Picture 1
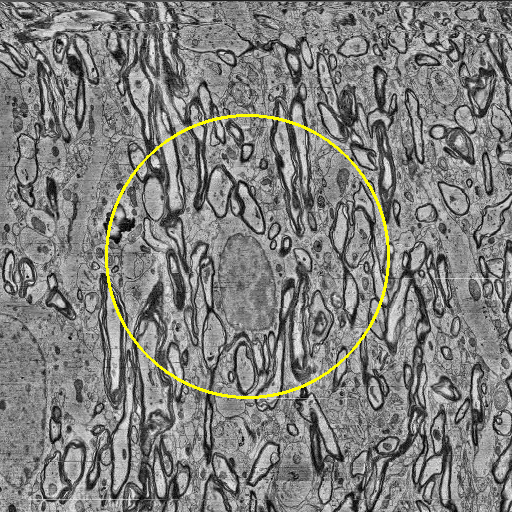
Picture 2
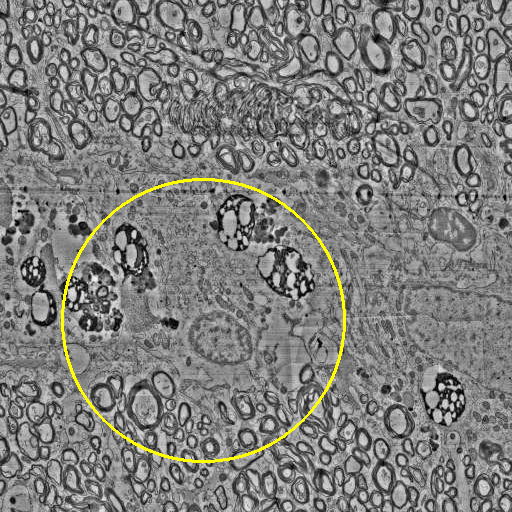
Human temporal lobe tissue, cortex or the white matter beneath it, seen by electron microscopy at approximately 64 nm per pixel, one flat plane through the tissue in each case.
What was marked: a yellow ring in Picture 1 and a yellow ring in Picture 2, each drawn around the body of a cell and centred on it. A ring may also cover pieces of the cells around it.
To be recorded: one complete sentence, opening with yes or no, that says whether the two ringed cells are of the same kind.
No, the two ringed cells are of two kinds.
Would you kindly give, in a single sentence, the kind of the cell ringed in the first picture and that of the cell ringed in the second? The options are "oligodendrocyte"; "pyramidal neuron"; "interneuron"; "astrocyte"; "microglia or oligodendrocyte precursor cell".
The second cell is an astrocyte, and the first cell is an oligodendrocyte.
